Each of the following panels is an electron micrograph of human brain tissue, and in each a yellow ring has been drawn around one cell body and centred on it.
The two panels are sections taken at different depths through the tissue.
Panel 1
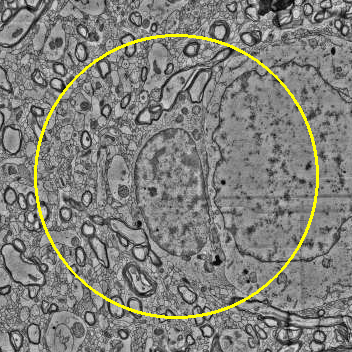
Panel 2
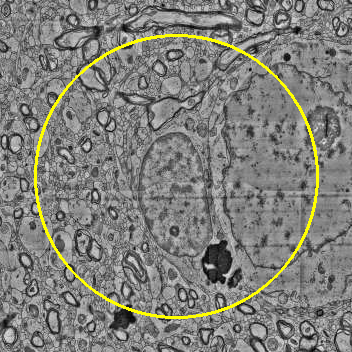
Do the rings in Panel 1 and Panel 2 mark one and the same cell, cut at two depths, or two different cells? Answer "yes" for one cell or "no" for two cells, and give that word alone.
yes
